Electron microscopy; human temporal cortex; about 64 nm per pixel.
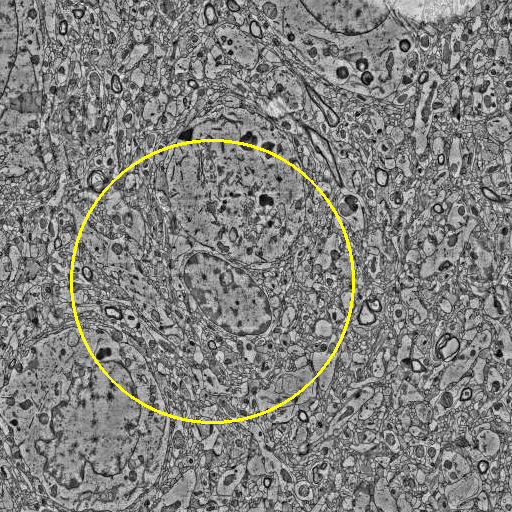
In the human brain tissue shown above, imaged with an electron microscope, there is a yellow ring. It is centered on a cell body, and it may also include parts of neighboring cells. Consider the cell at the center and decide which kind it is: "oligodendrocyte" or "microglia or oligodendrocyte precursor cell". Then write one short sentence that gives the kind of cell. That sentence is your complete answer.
This centered cell body is that of a microglial cell or oligodendrocyte precursor cell.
